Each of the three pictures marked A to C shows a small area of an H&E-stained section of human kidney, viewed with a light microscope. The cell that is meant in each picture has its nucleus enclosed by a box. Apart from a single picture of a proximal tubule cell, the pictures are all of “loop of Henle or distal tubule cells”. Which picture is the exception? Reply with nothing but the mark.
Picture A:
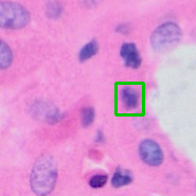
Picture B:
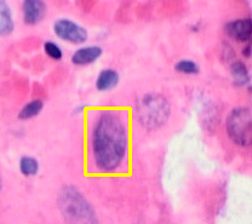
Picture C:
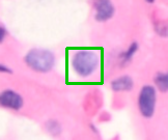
B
